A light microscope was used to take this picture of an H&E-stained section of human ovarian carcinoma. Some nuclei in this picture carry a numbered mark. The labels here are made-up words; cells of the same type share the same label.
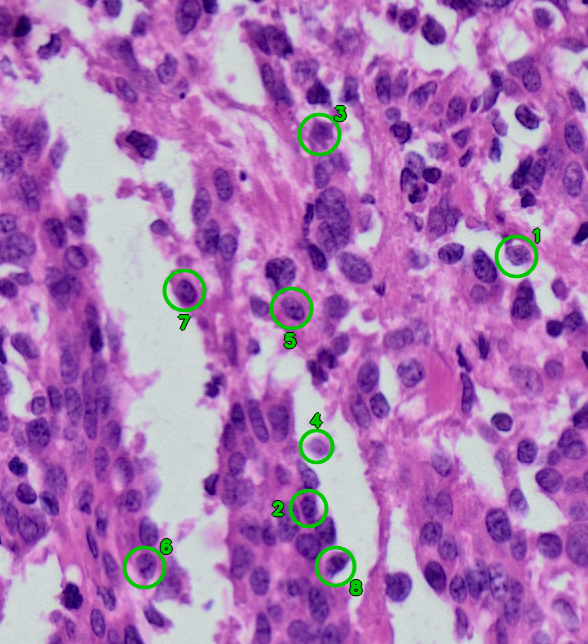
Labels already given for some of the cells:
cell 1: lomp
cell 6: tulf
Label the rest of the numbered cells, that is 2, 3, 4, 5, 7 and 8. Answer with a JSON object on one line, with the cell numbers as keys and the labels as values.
{"2": "lomp", "3": "lomp", "4": "lomp", "5": "tulf", "7": "tulf", "8": "lomp"}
